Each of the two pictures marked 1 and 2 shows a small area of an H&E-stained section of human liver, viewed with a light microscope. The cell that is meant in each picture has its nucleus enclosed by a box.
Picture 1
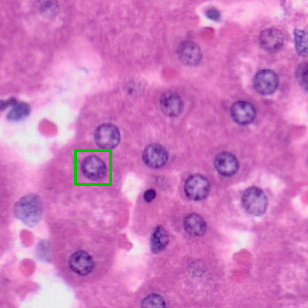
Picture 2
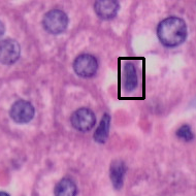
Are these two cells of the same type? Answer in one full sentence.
No. Picture 1 shows a hepatocyte, but picture 2 shows a Kupffer cell.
